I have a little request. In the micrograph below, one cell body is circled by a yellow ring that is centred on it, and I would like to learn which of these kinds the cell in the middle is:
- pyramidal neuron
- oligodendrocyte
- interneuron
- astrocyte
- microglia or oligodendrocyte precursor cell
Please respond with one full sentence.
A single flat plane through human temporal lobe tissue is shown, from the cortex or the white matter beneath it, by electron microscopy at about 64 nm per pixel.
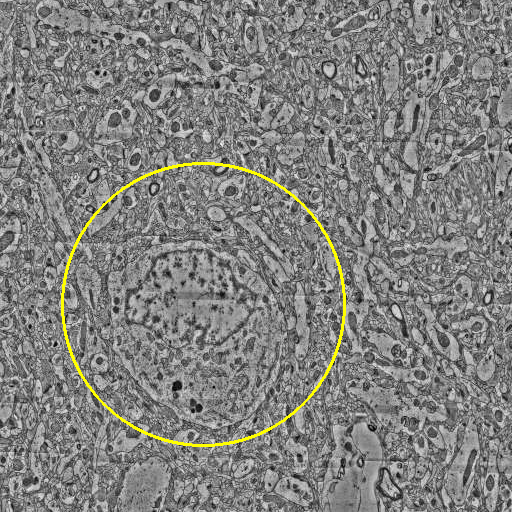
The cell sitting in the middle of the yellow ring in the micrograph is an interneuron.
